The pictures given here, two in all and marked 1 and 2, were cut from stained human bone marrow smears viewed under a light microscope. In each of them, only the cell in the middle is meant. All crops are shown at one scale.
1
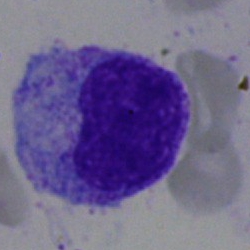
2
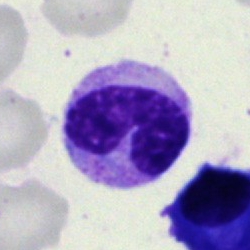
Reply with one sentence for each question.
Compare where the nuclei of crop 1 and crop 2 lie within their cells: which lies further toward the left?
The nucleus in crop 2 lies further toward the left of its cell.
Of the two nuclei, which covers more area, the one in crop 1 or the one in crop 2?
Crop 1 shows the larger nucleus; it covers about 1.5 times the area of the nucleus in crop 2.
